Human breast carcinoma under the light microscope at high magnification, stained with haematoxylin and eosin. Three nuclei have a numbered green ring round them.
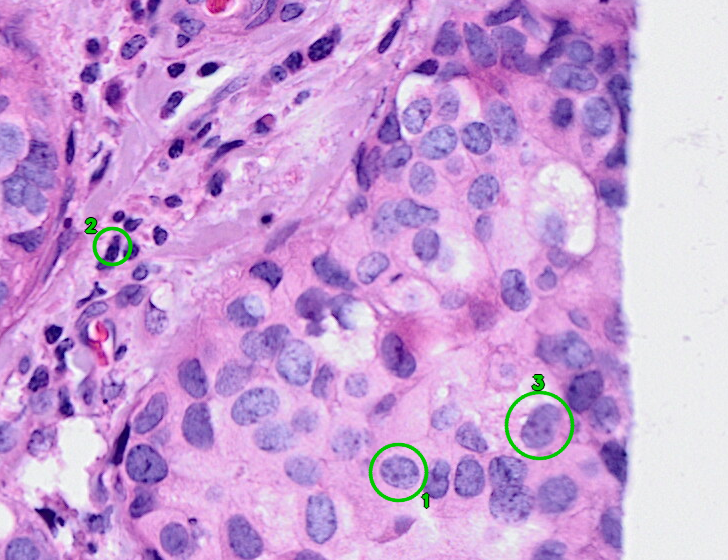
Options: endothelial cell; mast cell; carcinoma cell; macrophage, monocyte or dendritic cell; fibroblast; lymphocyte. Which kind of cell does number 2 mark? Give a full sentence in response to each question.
The cell whose nucleus carries the number 2 is a lymphocyte.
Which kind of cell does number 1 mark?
The cell given label 1 is a carcinoma cell.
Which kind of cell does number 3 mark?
That cell with number 3 is a carcinoma cell.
